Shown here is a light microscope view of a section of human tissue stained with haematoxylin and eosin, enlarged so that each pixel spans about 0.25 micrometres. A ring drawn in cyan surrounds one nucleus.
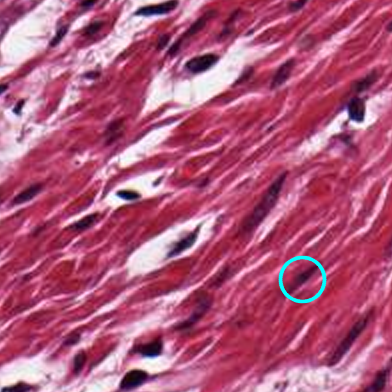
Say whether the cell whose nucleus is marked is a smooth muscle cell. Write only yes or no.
yes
